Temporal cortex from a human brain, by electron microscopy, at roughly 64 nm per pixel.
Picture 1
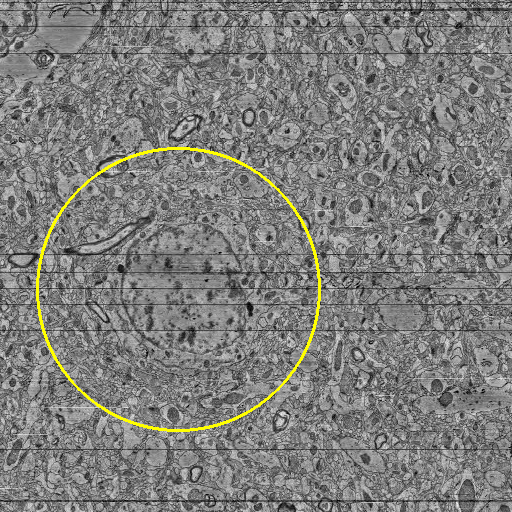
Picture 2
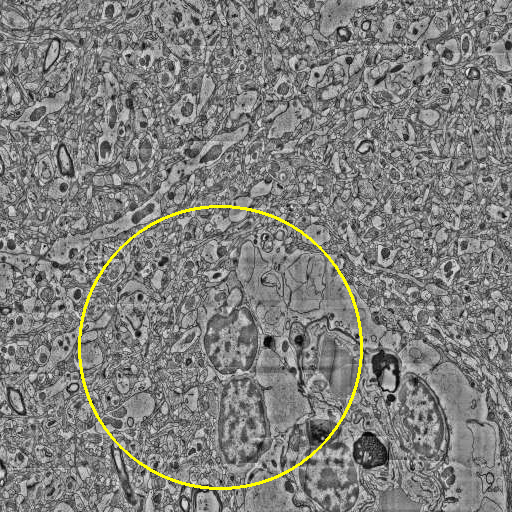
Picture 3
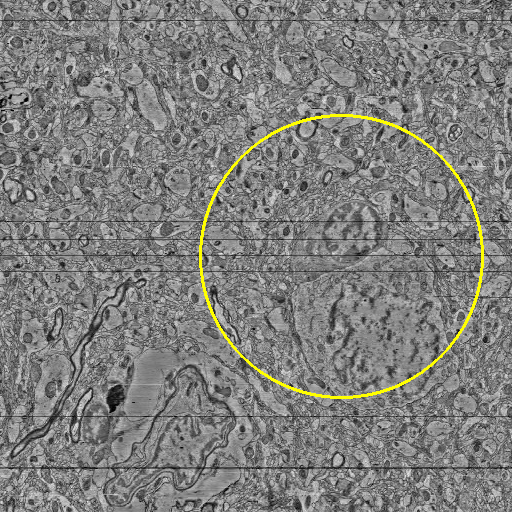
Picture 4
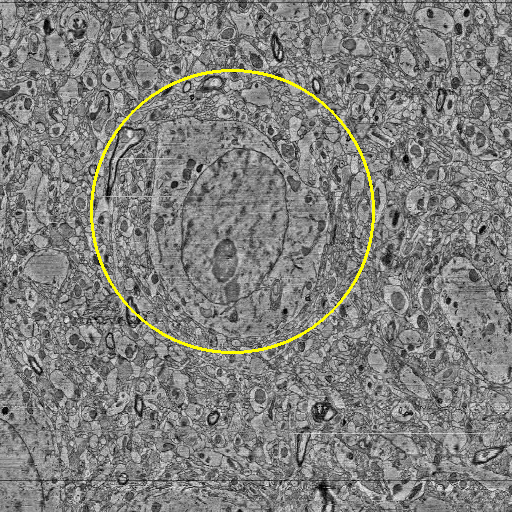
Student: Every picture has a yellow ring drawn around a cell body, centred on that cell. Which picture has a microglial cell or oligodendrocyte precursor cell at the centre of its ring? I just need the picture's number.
2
